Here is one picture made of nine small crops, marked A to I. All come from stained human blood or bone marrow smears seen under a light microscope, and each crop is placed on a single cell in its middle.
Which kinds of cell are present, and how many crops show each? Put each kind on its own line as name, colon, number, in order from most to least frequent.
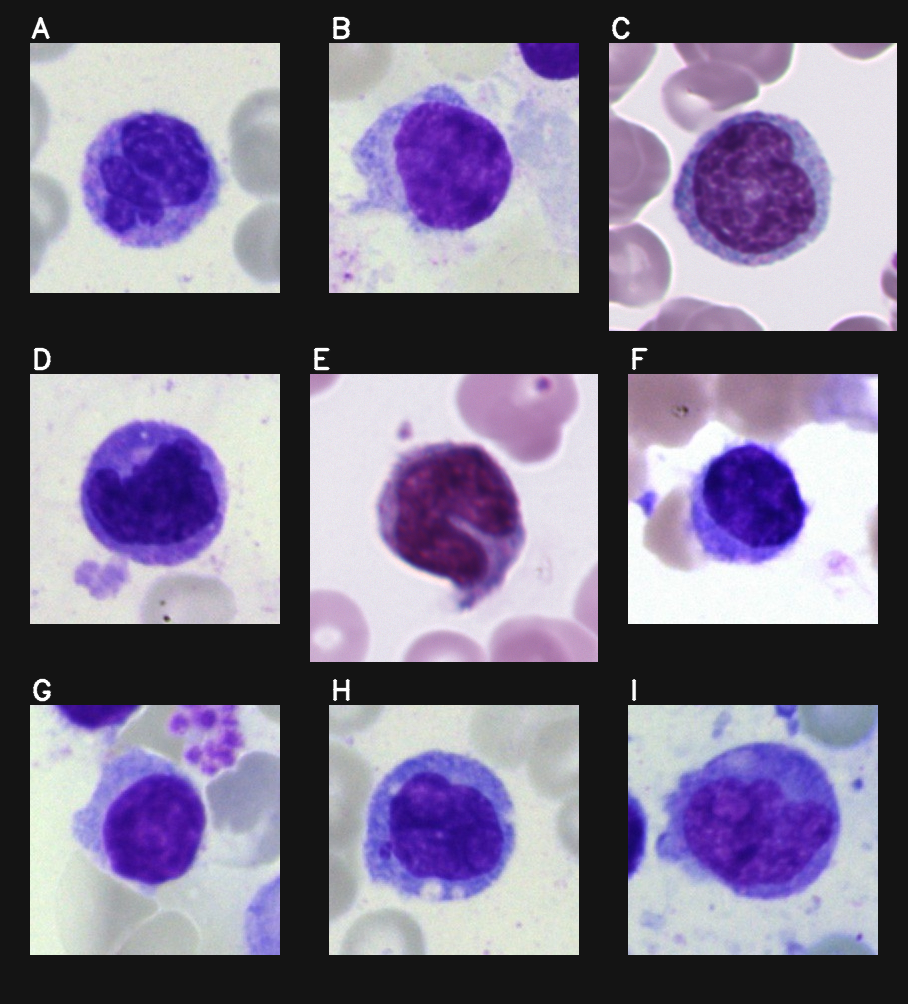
monocyte: 6
hairy cell: 3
